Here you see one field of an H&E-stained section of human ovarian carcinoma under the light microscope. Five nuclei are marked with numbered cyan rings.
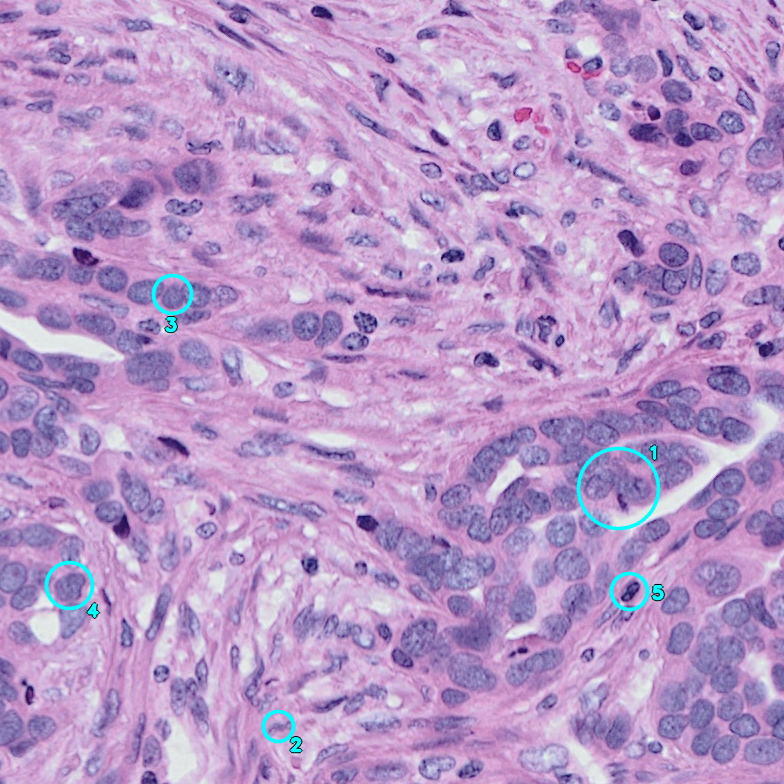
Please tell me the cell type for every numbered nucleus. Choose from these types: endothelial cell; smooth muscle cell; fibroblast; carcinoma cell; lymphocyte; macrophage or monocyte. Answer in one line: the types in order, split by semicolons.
carcinoma cell; fibroblast; carcinoma cell; carcinoma cell; lymphocyte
